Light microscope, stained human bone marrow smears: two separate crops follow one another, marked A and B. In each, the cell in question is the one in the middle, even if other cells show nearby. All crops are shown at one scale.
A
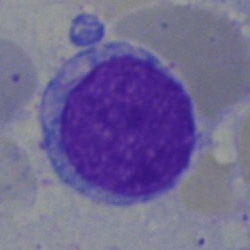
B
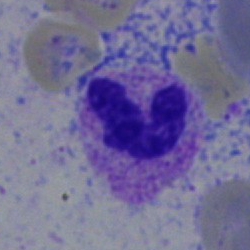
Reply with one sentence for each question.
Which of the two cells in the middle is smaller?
Smaller is the cell in crop B, and the other is about 1.5 times as large in area.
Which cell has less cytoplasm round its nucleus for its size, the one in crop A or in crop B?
Of the two, the nucleus in crop A makes up the greater part of its cell.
